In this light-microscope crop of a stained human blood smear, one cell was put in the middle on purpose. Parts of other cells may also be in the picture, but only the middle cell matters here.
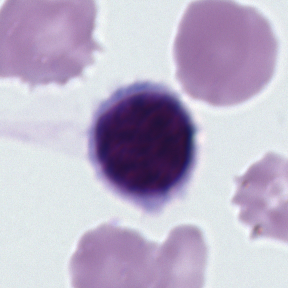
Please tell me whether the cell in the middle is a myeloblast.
no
